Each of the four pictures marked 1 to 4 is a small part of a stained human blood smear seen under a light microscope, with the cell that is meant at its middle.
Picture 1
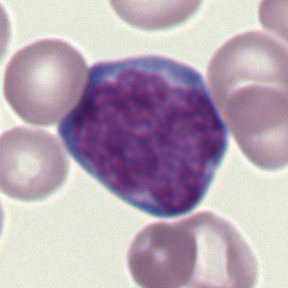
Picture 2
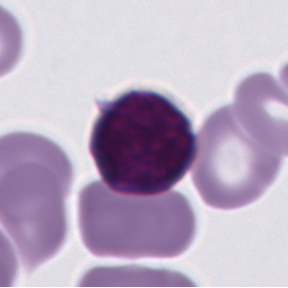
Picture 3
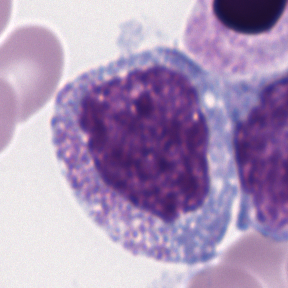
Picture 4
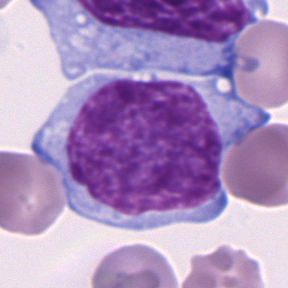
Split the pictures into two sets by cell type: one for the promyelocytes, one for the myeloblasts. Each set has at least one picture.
1: myeloblast
2: myeloblast
3: promyelocyte
4: myeloblast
